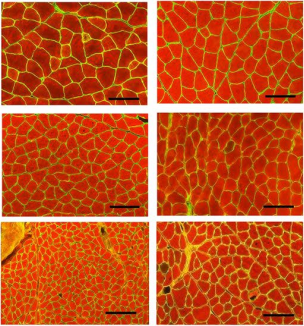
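These are cross-sections of skeletal muscle in which each outlined polygon is a single muscle fiber. Thin green lines trace the border of every fiber, forming a continuous network across the tissue. Nearly all fibers are filled with red, so this muscle looks uniform in color compared with a mixed mosaic. The fibers are packed side by side, angular in outline, and vary somewhat in size between images.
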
